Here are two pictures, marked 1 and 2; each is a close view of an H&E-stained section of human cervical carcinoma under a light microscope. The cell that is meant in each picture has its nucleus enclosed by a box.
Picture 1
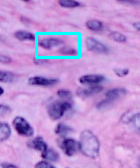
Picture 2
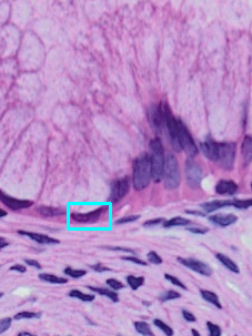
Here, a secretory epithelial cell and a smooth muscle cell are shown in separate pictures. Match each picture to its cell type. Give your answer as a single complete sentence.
Picture 2 shows a secretory epithelial cell, while picture 1 shows a smooth muscle cell.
